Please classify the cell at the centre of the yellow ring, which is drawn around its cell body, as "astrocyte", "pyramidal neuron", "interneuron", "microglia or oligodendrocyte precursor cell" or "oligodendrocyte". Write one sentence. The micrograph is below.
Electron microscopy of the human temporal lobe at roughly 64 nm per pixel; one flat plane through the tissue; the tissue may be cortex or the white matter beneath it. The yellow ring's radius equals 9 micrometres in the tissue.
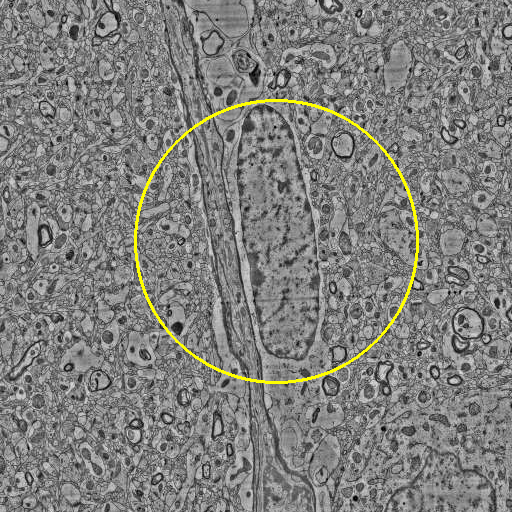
The cell at the ring's centre is classified as a microglial cell or oligodendrocyte precursor cell.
